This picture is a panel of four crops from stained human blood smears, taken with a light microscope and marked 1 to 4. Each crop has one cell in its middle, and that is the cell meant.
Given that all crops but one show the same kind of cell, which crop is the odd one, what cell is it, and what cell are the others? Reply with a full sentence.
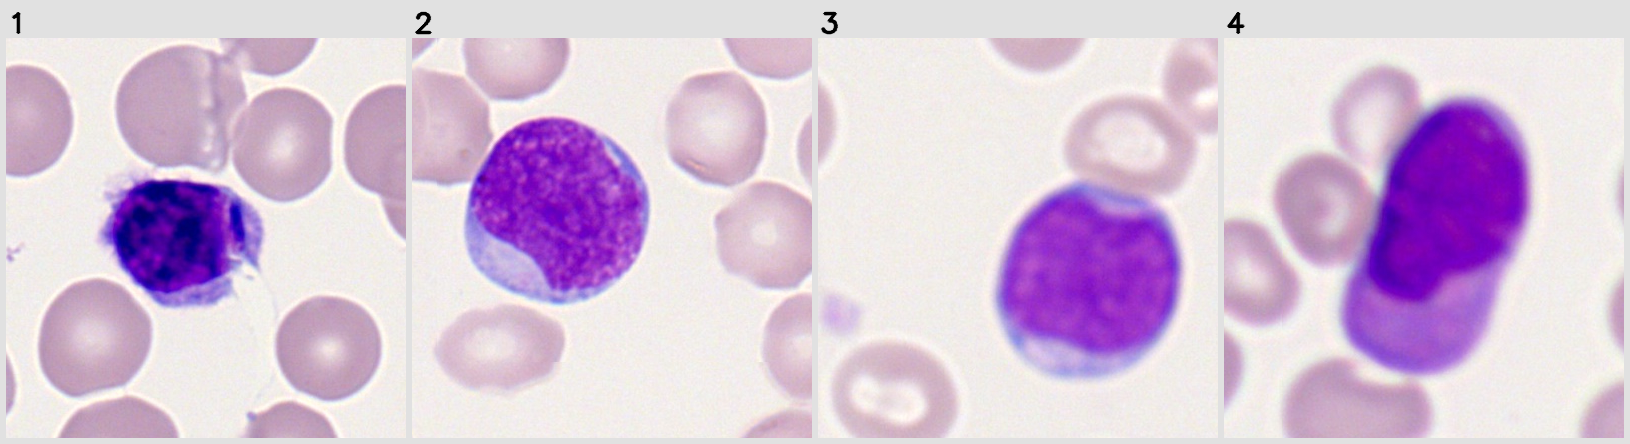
Crop 1 is a lymphocyte, unlike the other crops, which all show myeloblasts.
